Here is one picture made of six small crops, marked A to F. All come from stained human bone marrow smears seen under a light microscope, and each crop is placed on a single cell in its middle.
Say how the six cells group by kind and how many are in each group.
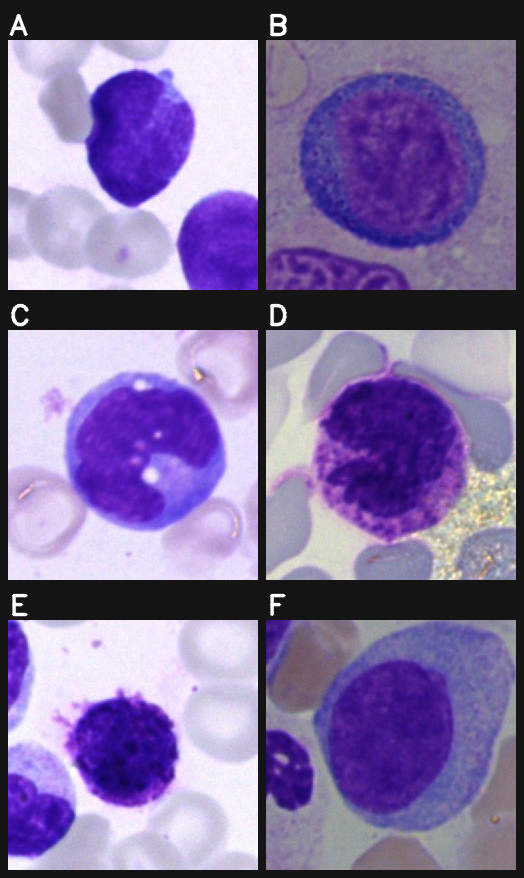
blast: 3
basophil: 2
monocyte: 1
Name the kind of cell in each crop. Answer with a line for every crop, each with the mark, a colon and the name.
A: blast
B: blast
C: monocyte
D: basophil
E: basophil
F: blast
